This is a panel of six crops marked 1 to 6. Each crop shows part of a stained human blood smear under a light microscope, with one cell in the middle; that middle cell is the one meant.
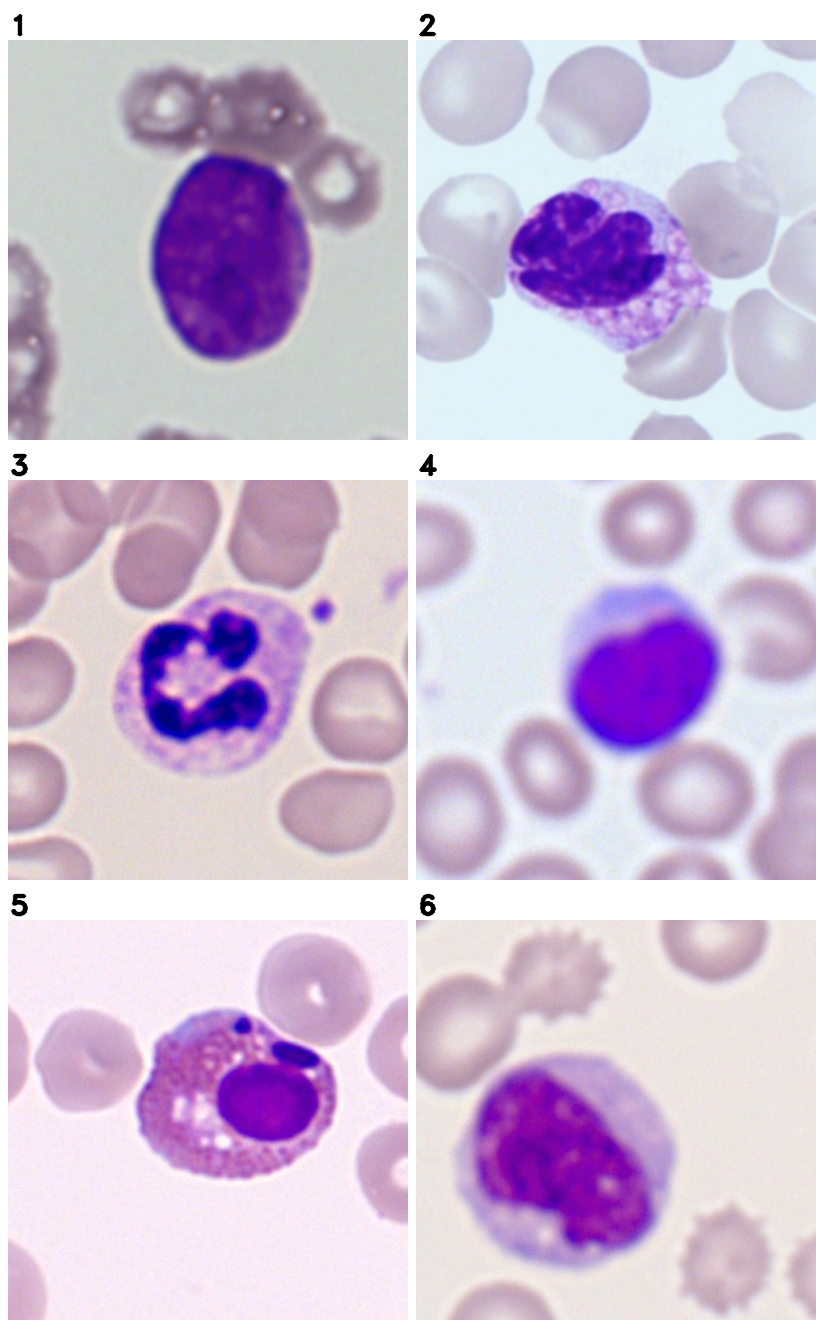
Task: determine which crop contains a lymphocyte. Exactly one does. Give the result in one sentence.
Crop 4, of the crops presented, is the one showing a lymphocyte.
